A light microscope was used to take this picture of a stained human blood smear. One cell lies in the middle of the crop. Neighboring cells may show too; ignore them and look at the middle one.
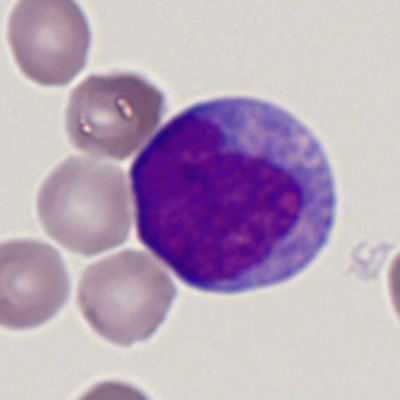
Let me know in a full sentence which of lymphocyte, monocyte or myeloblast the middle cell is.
The crop's centre is taken up by a myeloblast.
